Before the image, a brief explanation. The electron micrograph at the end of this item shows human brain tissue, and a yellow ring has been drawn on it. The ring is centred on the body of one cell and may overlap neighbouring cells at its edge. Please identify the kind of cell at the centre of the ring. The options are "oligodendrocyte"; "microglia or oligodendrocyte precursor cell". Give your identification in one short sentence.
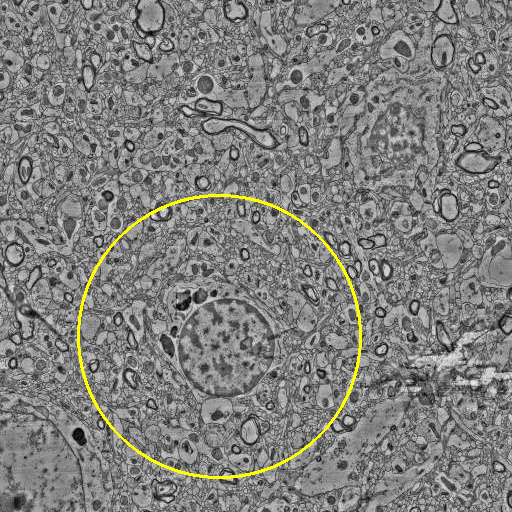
The ring has been placed around a microglial cell or oligodendrocyte precursor cell.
